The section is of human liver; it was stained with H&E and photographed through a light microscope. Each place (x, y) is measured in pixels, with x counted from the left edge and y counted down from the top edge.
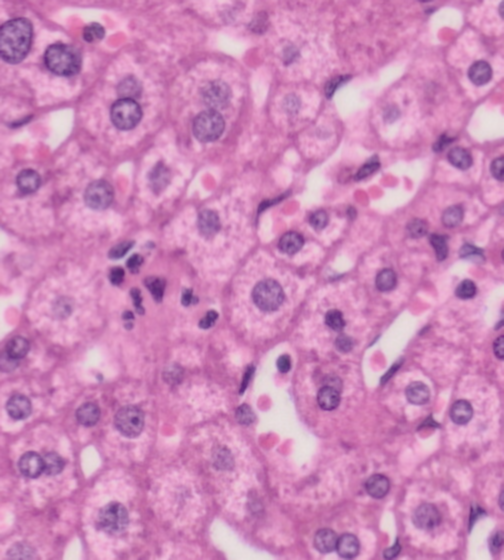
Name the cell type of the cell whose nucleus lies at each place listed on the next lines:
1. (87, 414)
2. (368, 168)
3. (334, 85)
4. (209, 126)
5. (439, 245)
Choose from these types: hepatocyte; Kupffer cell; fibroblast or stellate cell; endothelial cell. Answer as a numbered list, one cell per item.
1. hepatocyte
2. Kupffer cell
3. endothelial cell
4. hepatocyte
5. fibroblast or stellate cell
